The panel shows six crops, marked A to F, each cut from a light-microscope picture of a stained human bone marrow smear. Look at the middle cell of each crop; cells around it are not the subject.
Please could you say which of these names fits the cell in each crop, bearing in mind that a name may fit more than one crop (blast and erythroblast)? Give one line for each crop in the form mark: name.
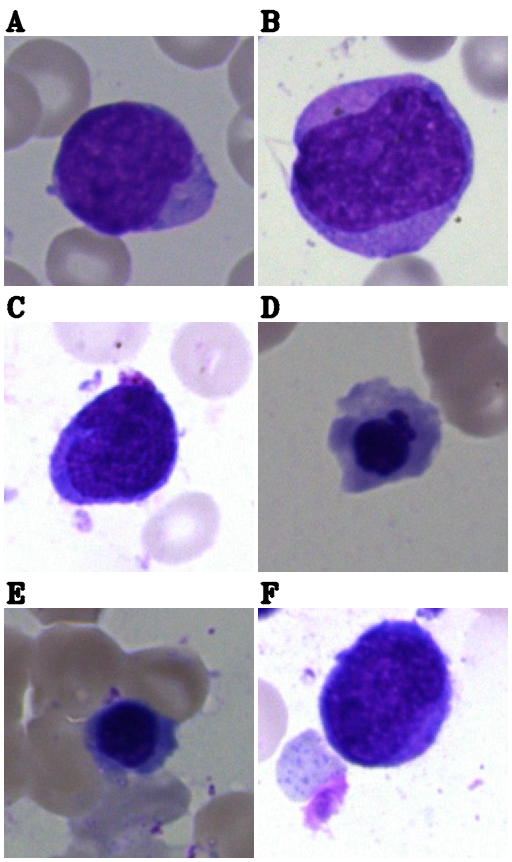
A: blast
B: blast
C: blast
D: erythroblast
E: erythroblast
F: blast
